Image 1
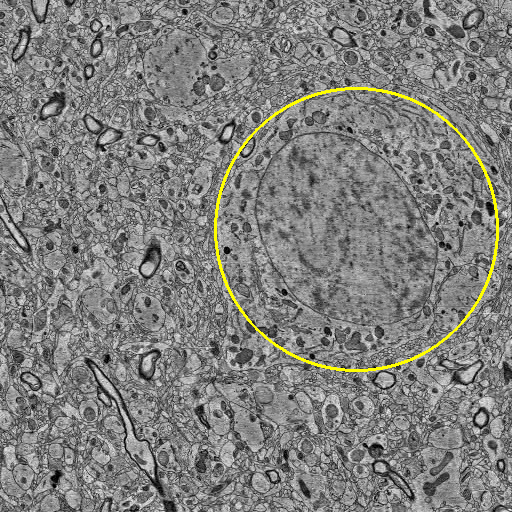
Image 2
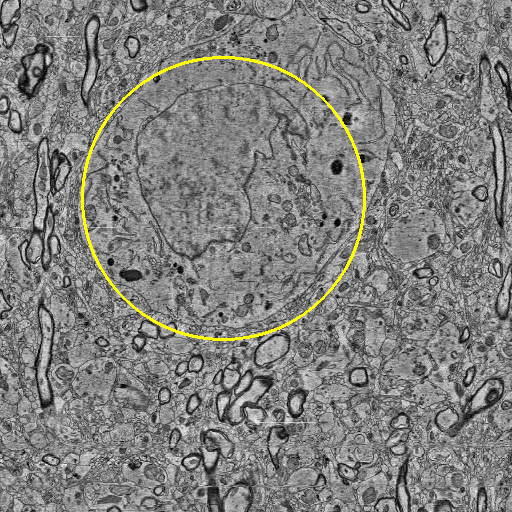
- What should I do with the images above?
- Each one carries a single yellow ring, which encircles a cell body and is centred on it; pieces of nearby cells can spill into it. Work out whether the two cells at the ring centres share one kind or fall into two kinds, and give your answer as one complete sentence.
The ring-centre cells of Image 1 and Image 2 fall into two kinds.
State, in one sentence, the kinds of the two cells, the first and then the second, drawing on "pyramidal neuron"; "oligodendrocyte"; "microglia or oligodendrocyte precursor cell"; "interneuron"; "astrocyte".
The ring in the second picture is centred on a pyramidal neuron, the ring in the first on an interneuron.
